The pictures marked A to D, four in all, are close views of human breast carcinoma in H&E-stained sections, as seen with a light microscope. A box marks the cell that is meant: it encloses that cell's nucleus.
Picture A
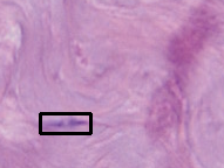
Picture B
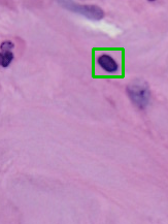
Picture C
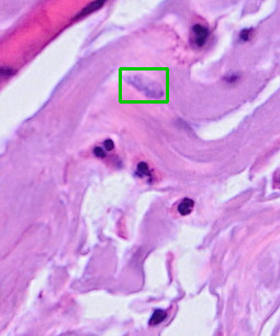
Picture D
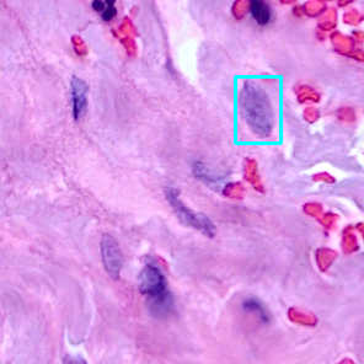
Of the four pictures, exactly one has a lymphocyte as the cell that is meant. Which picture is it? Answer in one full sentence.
Picture B shows the lymphocyte.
